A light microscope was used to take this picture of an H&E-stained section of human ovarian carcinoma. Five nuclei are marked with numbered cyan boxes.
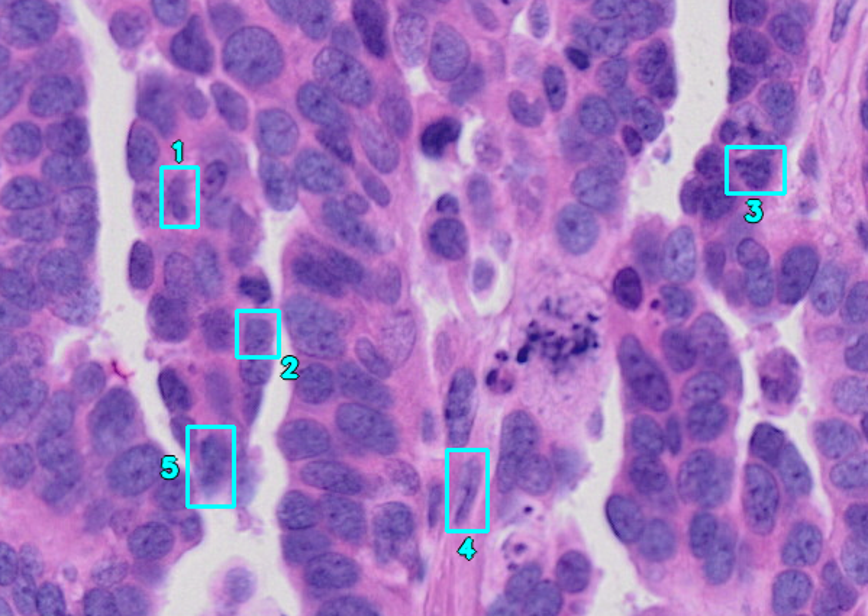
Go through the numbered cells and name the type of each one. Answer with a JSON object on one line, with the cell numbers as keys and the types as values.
{"1": "macrophage or monocyte", "2": "carcinoma cell", "3": "carcinoma cell", "4": "fibroblast", "5": "carcinoma cell"}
